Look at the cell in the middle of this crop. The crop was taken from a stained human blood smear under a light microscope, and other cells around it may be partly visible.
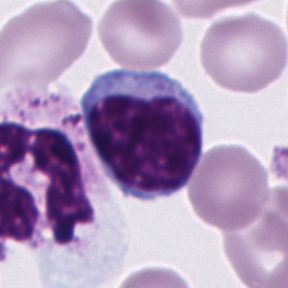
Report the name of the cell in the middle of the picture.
typical lymphocyte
